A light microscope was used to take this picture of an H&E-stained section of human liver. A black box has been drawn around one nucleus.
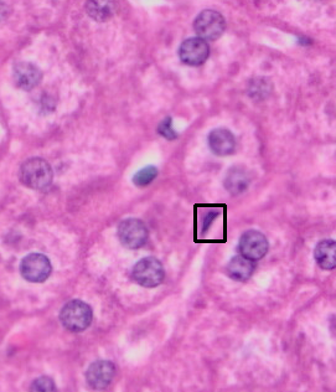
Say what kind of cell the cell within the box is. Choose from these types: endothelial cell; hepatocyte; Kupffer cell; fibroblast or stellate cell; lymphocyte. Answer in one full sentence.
It is a fibroblast or stellate cell that the cell within the box represents.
